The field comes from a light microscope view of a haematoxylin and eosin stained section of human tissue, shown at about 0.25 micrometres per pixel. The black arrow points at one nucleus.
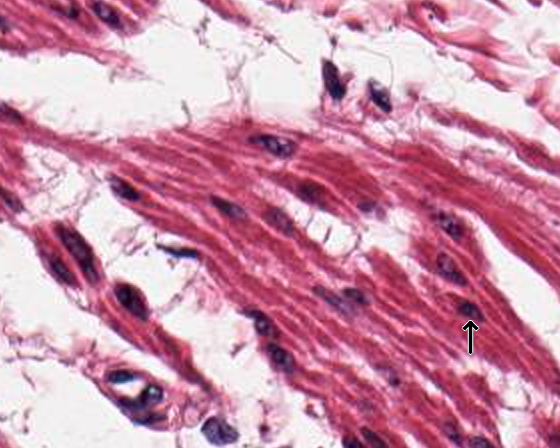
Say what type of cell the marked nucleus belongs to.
smooth muscle cell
